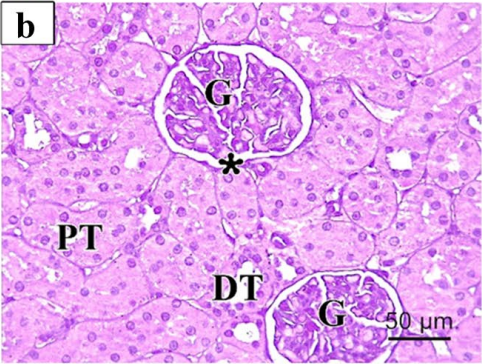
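Renal cortex with two glomeruli and surrounding convoluted tubules in normal arrangement. Each glomerulus is a round, lobulated tuft of capillary loops with scattered dark purple nuclei, surrounded by a thin clear crescent of Bowman's space and a thin capsule. Proximal convoluted tubules are large, with tall pink cuboidal cells whose round nuclei sit near the base and whose lumens are small and irregular. Tubules lie tightly packed with only thin interstitium between them.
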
